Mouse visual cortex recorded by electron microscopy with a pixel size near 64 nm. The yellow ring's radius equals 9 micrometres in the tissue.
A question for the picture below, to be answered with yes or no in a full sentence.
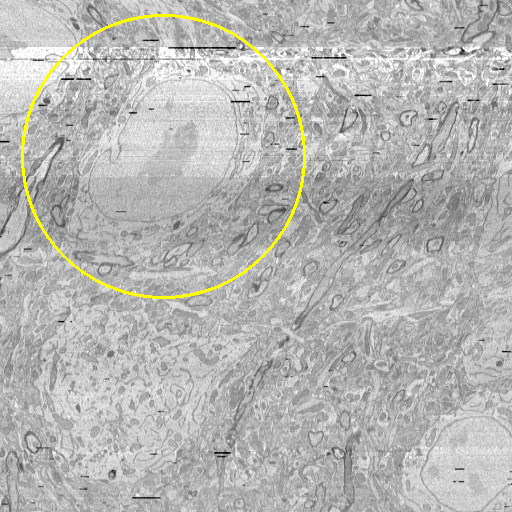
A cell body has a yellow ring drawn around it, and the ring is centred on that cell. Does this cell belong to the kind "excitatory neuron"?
Yes, the pictured cell at the ring's centre belongs to that kind.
